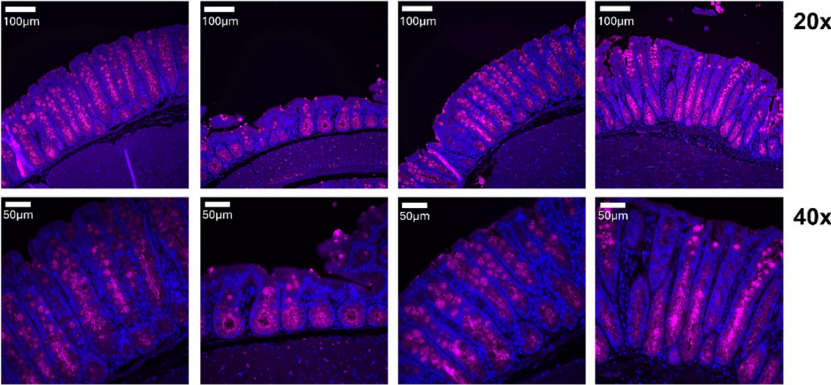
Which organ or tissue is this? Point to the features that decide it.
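Colons. Straight tubular crypts without villi. Crypts packed side by side above a submucosal layer.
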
